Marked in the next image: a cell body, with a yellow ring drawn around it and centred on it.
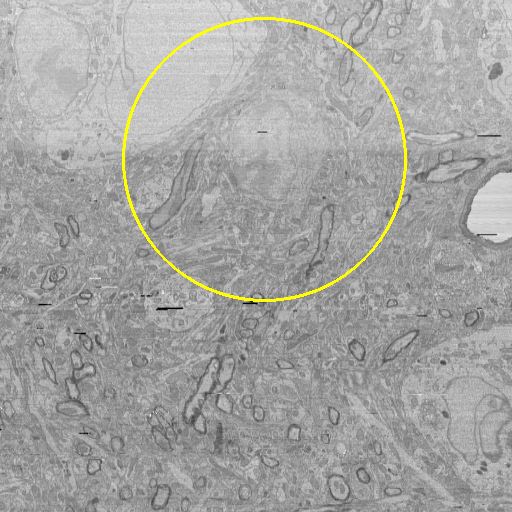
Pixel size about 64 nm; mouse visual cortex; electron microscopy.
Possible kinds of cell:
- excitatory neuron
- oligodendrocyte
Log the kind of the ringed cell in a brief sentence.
The ringed cell body is that of an oligodendrocyte.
